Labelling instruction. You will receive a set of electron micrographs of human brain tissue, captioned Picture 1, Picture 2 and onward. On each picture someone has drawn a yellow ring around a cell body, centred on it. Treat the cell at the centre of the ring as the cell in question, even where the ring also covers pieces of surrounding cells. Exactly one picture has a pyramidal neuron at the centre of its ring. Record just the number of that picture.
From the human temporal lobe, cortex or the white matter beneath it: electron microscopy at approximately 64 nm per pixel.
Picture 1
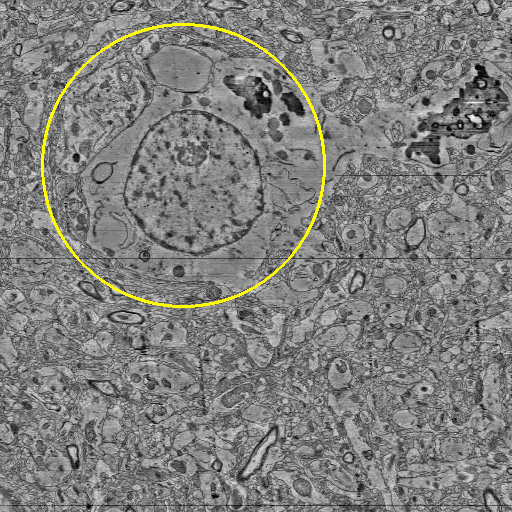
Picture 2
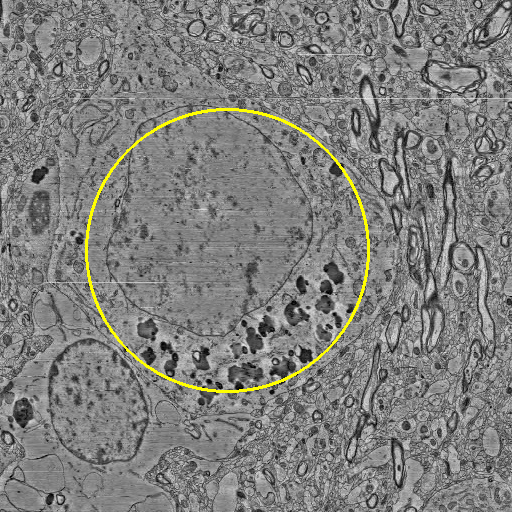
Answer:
2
